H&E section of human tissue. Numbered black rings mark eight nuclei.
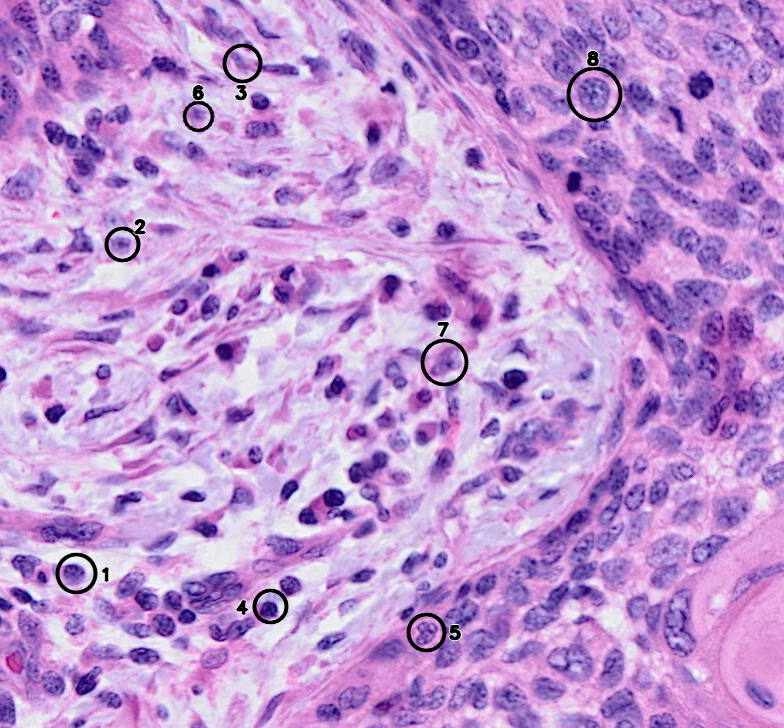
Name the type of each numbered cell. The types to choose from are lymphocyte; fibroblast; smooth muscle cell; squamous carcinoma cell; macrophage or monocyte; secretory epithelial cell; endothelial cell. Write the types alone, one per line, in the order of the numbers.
lymphocyte
fibroblast
fibroblast
lymphocyte
squamous carcinoma cell
fibroblast
macrophage or monocyte
squamous carcinoma cell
